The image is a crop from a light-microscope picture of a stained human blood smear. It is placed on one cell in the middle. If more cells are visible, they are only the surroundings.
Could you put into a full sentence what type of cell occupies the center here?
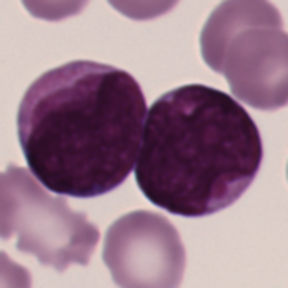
As for the central cell, it is a blast.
